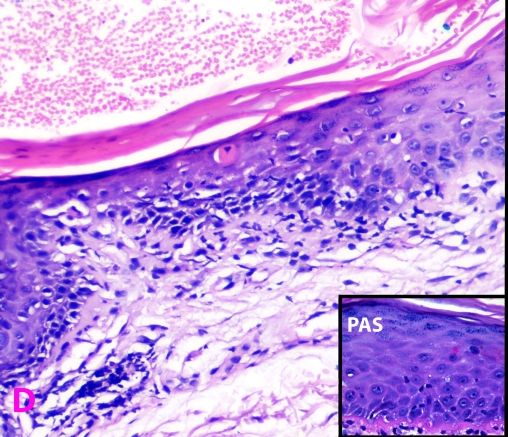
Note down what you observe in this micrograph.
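This is skin showing an interface dermatitis, with a layer of compact pink keratin over the epidermis and a collection of red blood cells lying above it. Along the junction between epidermis and dermis the basal layer is disrupted, with scattered small dark lymphocytes and pale vacuolated spaces. In the upper epidermis a rounded, glassy, bright pink apoptotic keratinocyte stands apart from its neighbours. The dermis beneath is pale and loose, with small clusters of dark inflammatory cells around vessels.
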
